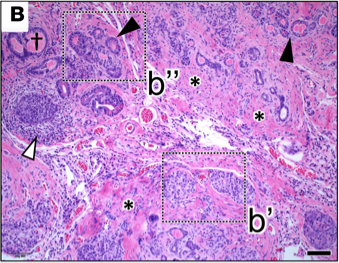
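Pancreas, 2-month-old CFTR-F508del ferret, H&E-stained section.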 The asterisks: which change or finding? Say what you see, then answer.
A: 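Fibrosis. The asterisks lie on broad pink fibrous stroma. Acinar lobules are small and separated by this pink tissue.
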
